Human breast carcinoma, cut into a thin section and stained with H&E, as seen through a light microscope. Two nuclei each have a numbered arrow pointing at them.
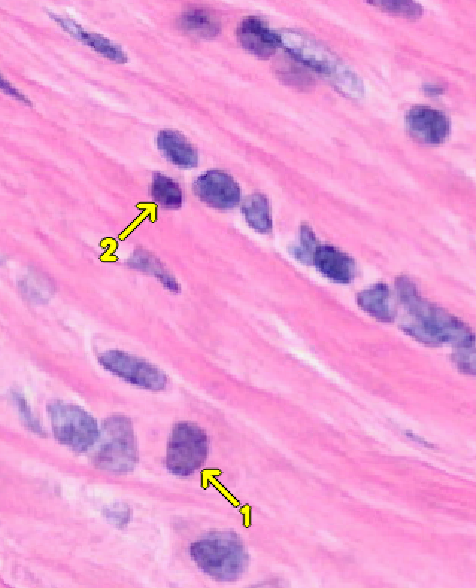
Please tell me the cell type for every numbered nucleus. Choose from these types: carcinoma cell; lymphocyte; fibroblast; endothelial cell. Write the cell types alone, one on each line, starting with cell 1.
carcinoma cell
lymphocyte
